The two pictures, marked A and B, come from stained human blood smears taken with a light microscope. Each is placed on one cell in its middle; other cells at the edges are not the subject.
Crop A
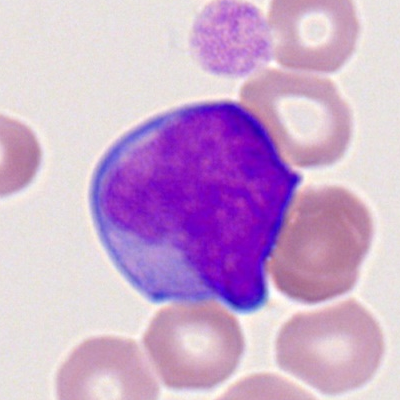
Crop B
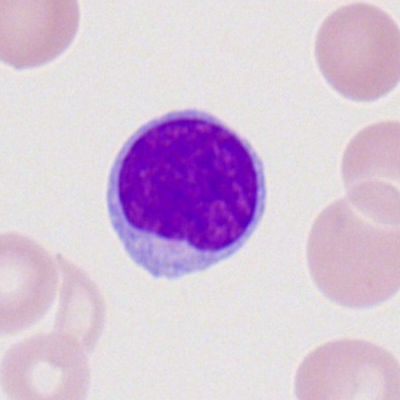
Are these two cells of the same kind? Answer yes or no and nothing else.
no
